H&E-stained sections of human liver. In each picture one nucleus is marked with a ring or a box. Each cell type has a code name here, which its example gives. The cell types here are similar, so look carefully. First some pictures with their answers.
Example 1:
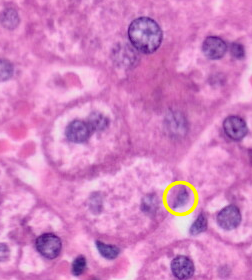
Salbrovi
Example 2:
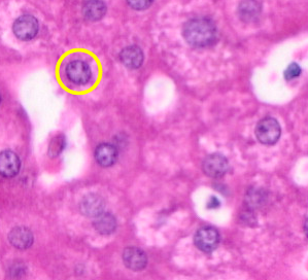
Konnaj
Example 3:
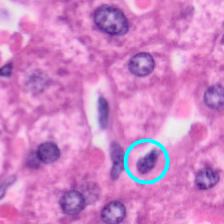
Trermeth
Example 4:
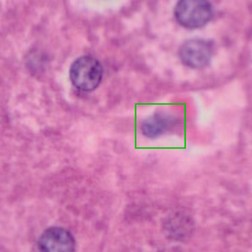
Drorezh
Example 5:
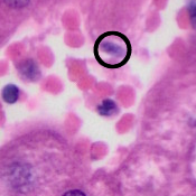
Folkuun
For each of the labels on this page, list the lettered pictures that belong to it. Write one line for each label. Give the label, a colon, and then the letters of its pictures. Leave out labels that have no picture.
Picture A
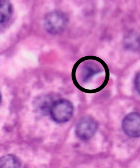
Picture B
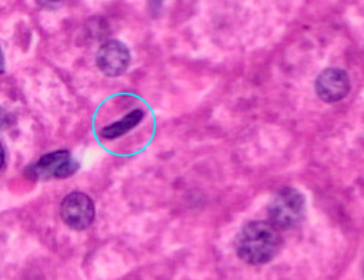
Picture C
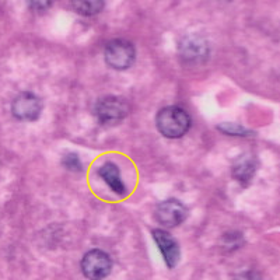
Salbrovi: A
Trermeth: B, C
